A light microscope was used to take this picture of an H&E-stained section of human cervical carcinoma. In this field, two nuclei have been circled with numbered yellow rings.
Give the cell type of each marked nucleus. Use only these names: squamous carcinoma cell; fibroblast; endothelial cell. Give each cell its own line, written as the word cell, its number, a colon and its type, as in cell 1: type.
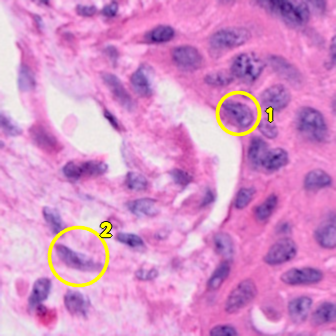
cell 1: squamous carcinoma cell
cell 2: fibroblast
